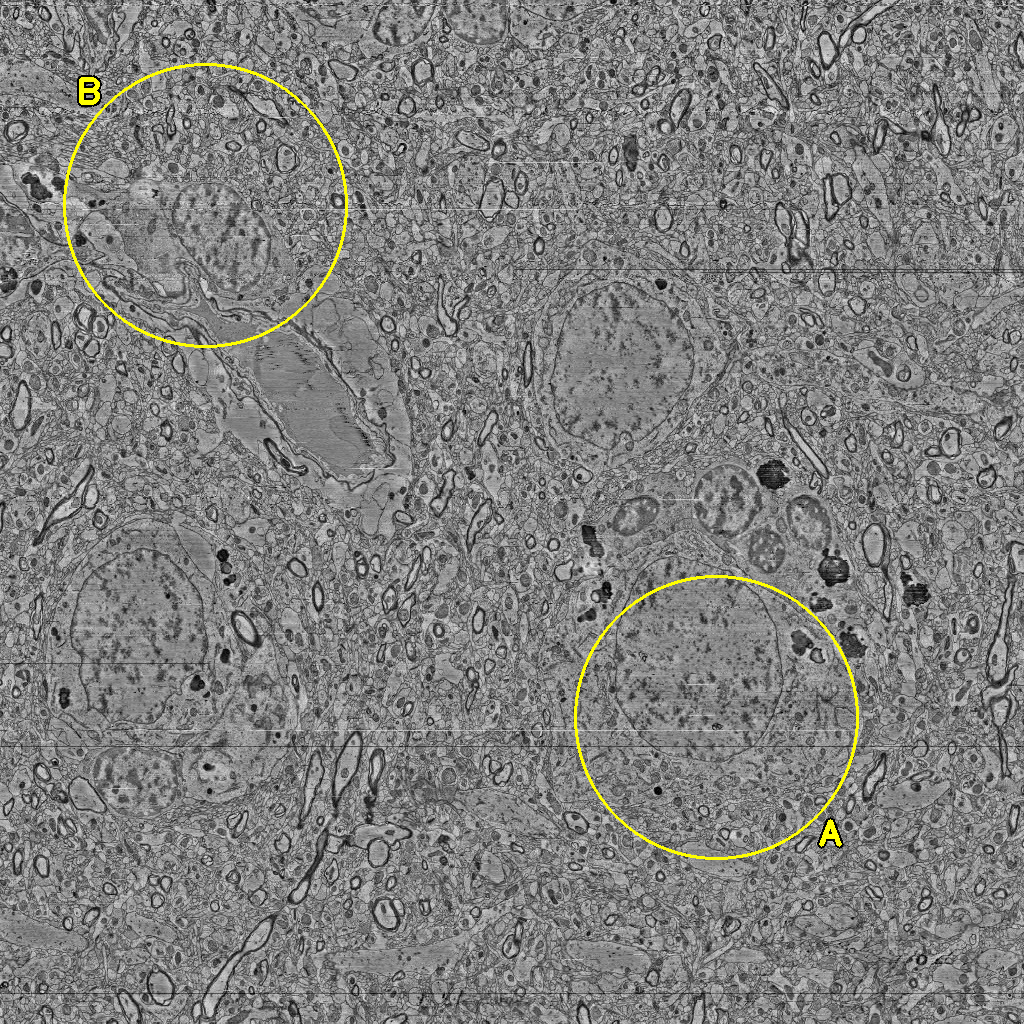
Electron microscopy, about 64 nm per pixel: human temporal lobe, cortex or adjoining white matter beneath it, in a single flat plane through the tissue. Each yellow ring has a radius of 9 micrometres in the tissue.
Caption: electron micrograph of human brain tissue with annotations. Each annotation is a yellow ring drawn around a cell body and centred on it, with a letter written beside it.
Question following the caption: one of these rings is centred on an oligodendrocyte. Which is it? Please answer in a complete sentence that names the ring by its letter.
The ring with the letter B is centred on it.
